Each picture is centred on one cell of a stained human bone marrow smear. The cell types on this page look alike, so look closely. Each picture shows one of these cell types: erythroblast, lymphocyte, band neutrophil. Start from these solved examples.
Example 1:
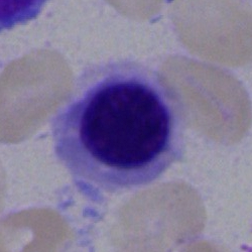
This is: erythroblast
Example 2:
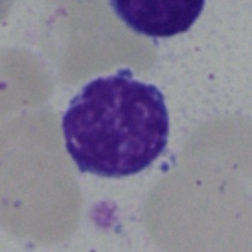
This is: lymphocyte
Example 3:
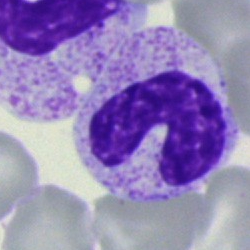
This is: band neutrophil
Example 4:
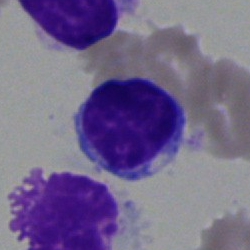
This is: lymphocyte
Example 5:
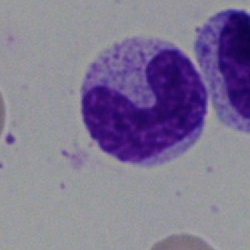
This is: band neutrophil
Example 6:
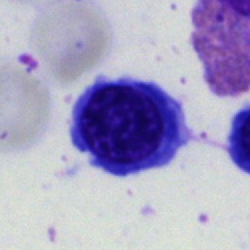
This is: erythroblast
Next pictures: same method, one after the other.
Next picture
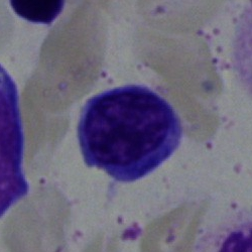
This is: lymphocyte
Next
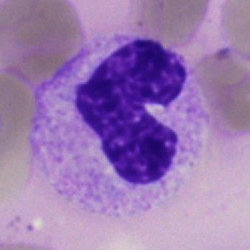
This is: band neutrophil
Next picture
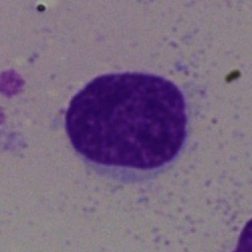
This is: lymphocyte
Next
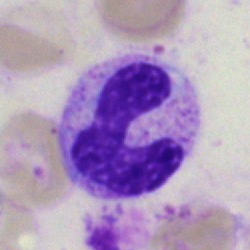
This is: band neutrophil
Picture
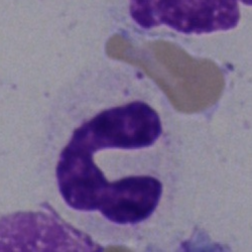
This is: band neutrophil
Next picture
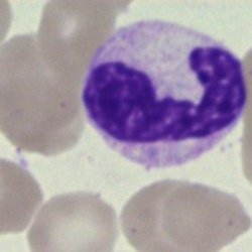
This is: band neutrophil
